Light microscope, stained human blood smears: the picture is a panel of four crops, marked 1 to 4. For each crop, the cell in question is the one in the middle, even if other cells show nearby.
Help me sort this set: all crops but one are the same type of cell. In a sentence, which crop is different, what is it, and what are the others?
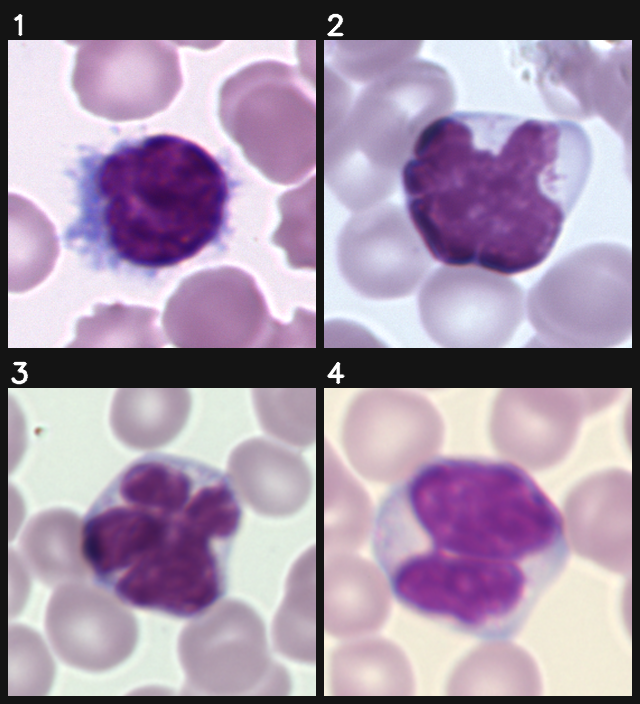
Crop 1 is the outlier, with a hairy cell against large granular lymphocytes in the rest.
